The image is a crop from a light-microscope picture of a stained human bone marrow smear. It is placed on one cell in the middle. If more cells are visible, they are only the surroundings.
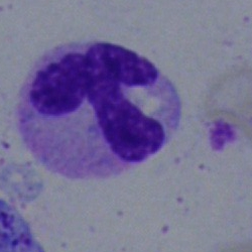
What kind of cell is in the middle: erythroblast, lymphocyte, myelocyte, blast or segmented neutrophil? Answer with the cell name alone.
segmented neutrophil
